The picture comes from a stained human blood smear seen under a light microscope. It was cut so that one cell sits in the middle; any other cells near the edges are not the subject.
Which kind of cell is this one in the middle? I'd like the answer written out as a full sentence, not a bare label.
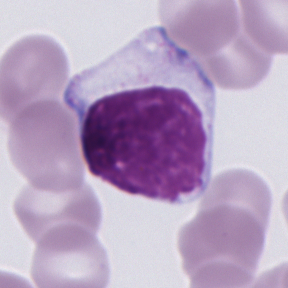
The centrally placed cell is classified as a large granular lymphocyte.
